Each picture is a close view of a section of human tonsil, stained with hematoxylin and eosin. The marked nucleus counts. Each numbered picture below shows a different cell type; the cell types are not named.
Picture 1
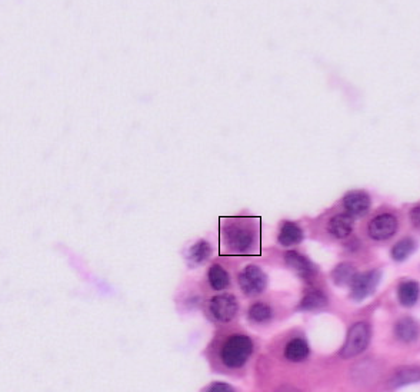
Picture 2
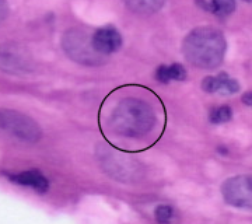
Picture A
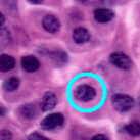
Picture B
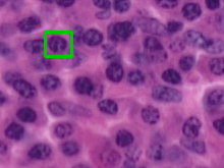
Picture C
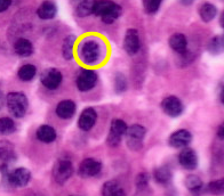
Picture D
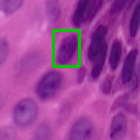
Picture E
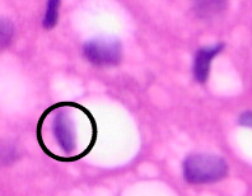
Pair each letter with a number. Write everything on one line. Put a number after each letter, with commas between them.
A 1, B 1, C 1, D 2, E 2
